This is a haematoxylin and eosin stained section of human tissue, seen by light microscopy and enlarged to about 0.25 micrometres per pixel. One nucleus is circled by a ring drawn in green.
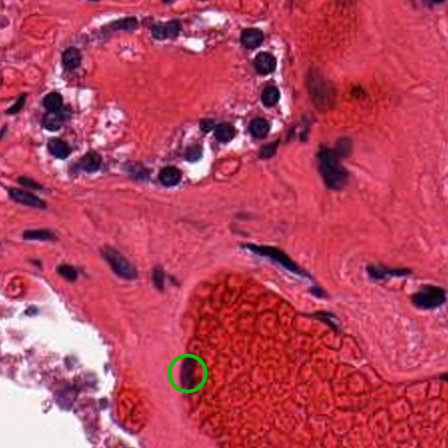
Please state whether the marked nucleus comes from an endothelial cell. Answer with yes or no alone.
yes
